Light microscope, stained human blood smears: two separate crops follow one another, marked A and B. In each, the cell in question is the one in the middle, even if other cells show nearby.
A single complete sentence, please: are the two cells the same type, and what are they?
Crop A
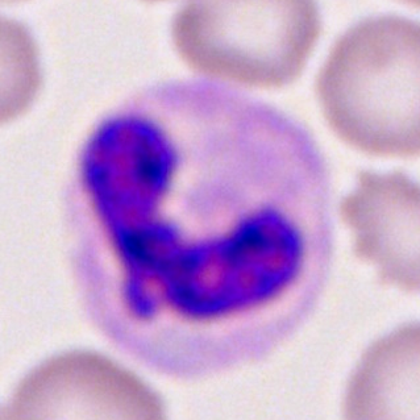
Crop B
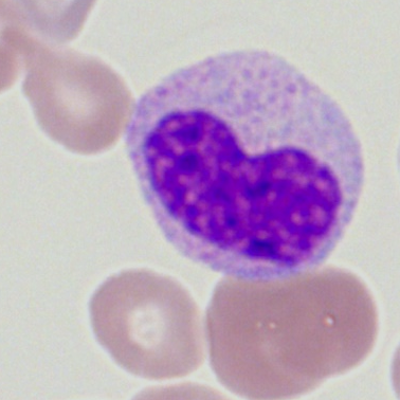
Yes, both crops do show band neutrophils in the middle.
